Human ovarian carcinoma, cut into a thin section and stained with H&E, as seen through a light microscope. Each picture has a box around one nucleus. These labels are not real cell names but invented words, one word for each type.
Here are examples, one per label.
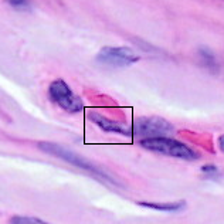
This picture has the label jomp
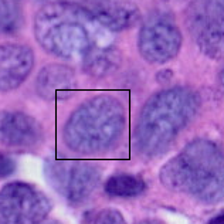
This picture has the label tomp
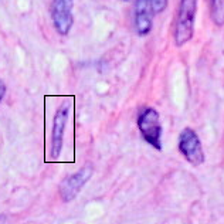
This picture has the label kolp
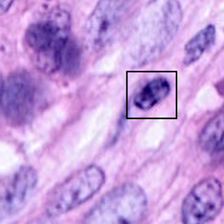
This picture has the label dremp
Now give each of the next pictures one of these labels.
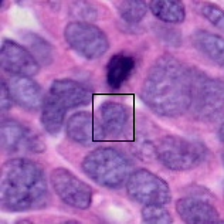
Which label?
tomp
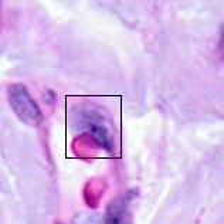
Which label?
jomp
